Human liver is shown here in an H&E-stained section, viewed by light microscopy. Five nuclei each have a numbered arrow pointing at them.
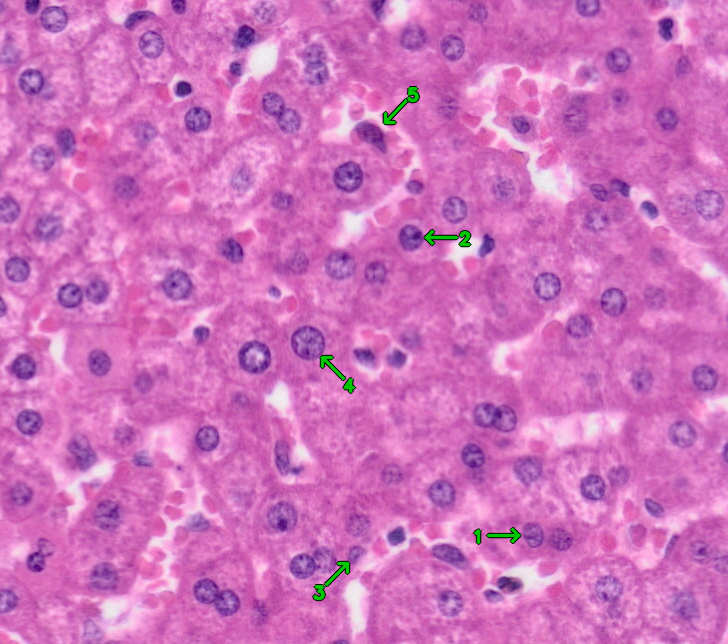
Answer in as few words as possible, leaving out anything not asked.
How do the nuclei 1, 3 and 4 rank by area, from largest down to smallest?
4, 1, 3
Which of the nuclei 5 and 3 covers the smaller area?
3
